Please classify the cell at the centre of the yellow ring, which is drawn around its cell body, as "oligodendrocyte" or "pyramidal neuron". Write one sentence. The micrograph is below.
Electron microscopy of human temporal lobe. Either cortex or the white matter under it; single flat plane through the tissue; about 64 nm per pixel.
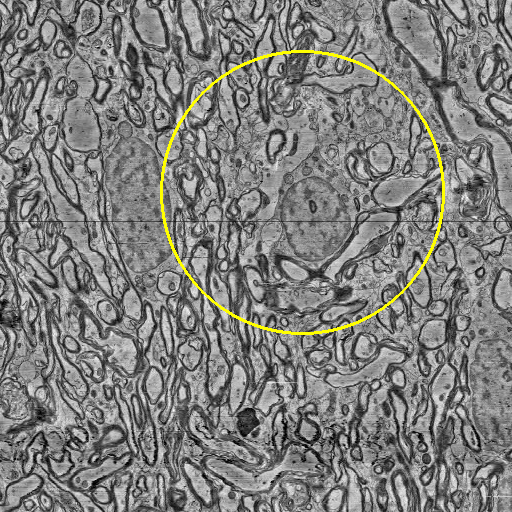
The cell at the ring's centre is classified as an oligodendrocyte.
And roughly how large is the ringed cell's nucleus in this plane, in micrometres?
In this plane the nucleus measures roughly 6 by 5 micrometres.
